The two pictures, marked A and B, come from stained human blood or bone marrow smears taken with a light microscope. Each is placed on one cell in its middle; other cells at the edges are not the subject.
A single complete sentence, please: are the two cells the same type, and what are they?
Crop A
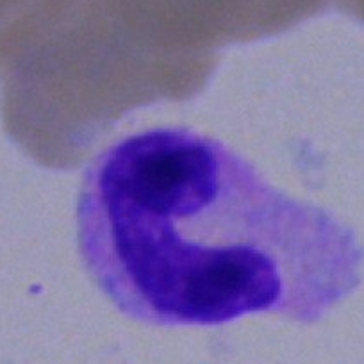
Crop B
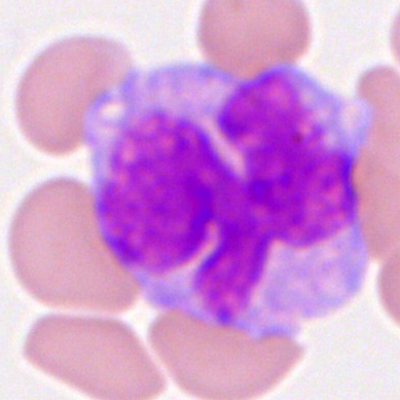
No, crop A displays a band neutrophil, and crop B displays a monocyte.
